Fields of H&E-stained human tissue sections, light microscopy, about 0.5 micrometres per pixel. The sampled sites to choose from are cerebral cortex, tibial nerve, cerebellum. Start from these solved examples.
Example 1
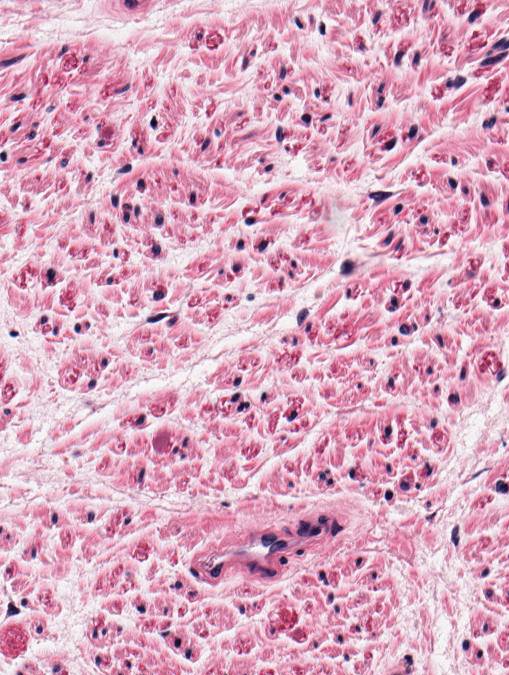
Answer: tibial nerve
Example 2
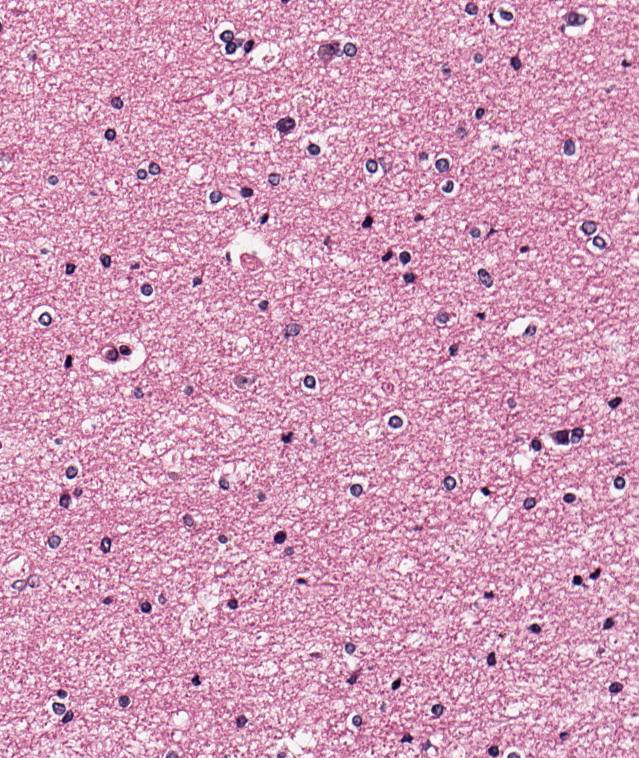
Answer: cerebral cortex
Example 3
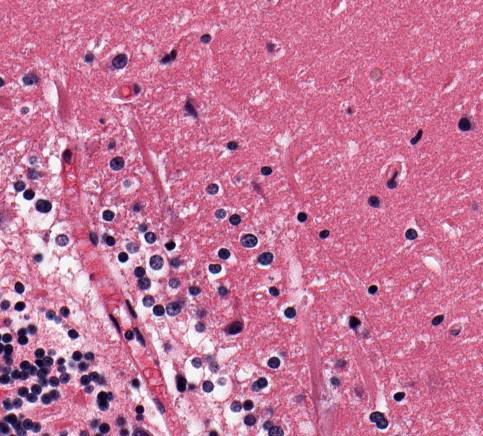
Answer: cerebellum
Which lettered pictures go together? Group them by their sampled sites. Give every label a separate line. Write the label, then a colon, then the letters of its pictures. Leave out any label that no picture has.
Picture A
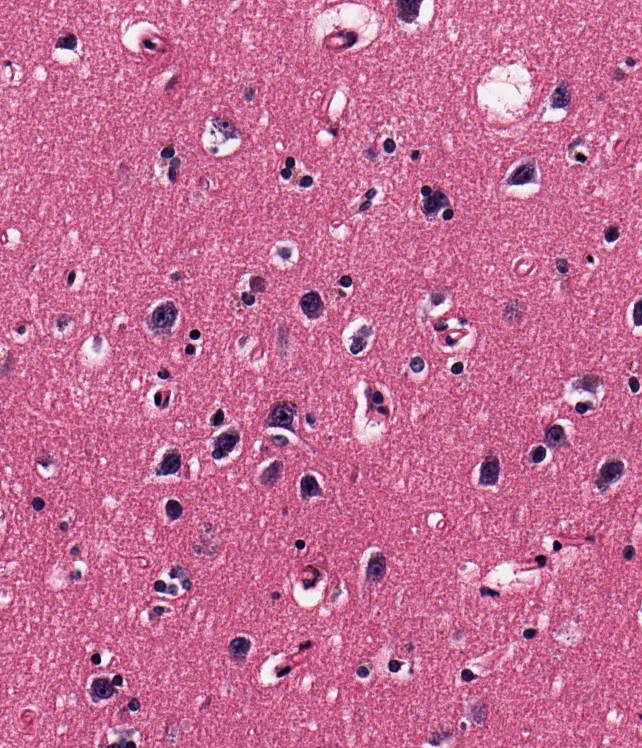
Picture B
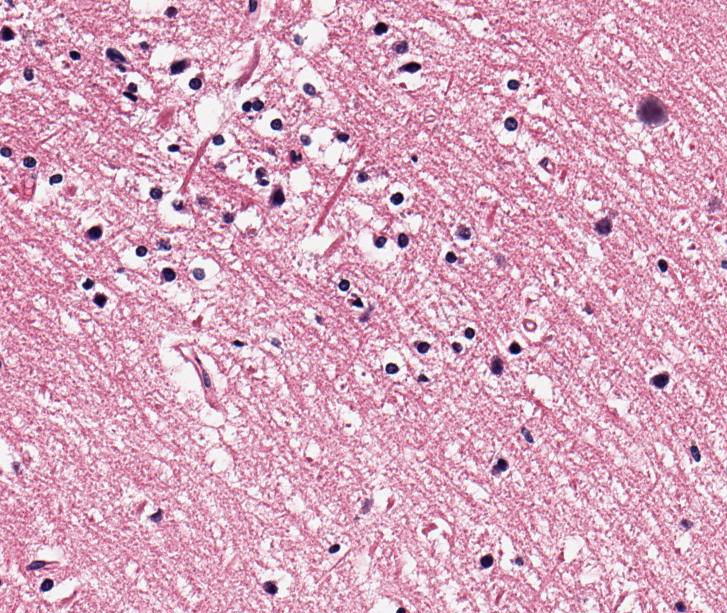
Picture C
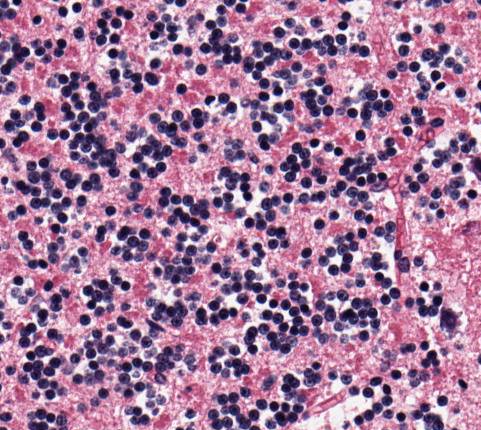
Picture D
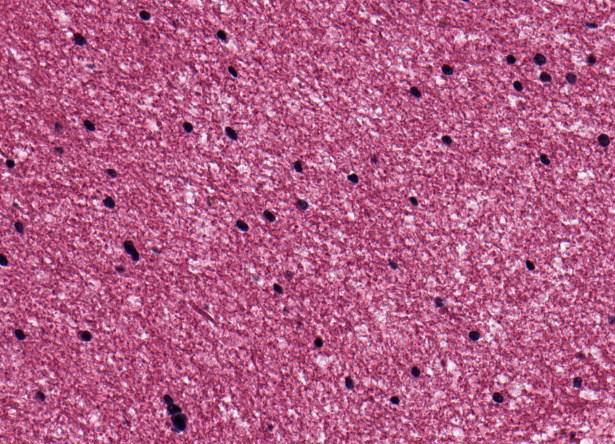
cerebral cortex: A, D
cerebellum: B, C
